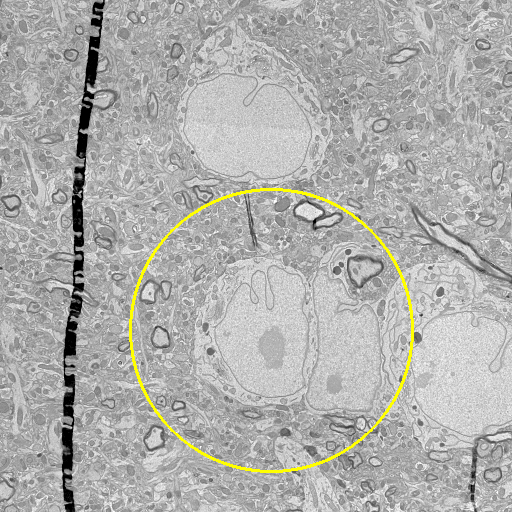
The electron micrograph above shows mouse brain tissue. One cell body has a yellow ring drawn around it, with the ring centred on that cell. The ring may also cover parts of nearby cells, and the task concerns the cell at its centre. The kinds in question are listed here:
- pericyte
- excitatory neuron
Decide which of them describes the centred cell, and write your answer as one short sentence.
The centred cell is an excitatory neuron.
